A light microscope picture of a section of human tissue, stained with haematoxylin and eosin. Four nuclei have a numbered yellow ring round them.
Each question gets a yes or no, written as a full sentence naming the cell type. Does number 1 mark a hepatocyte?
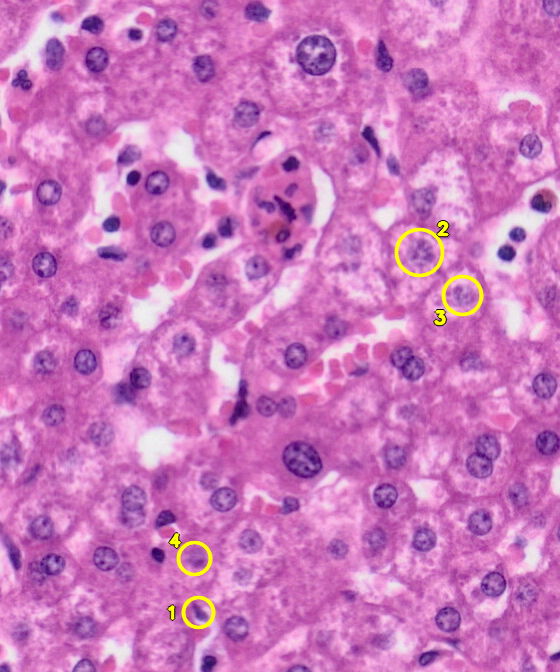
No, cell 1 is to be classed as an endothelial cell, not a hepatocyte.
